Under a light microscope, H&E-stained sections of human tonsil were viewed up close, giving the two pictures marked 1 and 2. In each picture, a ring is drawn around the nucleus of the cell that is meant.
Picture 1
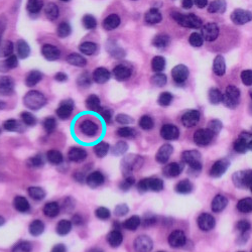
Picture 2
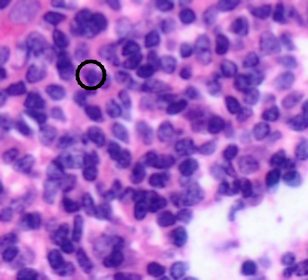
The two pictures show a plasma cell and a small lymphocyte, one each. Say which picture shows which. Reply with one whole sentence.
In picture 1 the cell is a plasma cell; in picture 2, a small lymphocyte.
